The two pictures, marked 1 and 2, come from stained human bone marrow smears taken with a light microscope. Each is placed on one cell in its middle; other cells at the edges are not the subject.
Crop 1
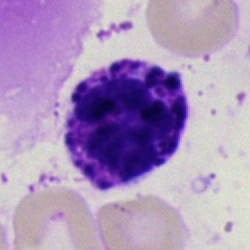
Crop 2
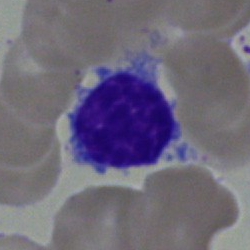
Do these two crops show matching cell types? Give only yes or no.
no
